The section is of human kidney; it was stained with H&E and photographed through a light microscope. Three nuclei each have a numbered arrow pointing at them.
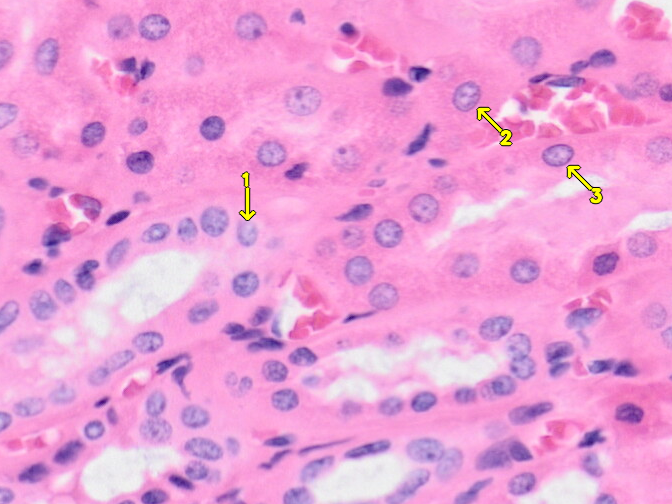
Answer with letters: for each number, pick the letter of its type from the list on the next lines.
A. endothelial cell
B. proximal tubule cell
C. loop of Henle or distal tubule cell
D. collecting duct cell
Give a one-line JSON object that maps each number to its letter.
{"1": "D", "2": "B", "3": "B"}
